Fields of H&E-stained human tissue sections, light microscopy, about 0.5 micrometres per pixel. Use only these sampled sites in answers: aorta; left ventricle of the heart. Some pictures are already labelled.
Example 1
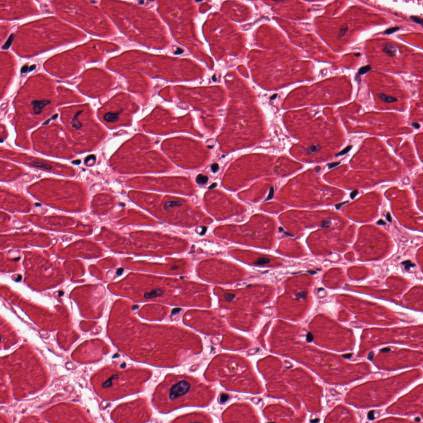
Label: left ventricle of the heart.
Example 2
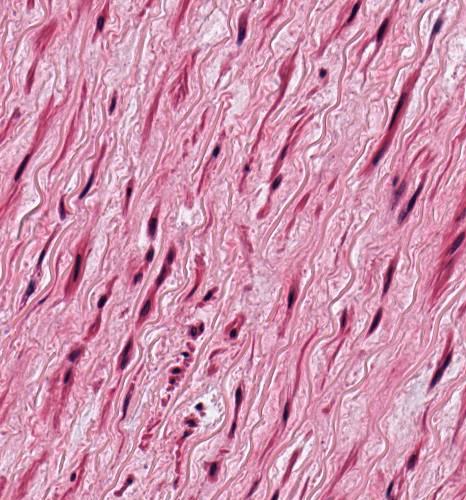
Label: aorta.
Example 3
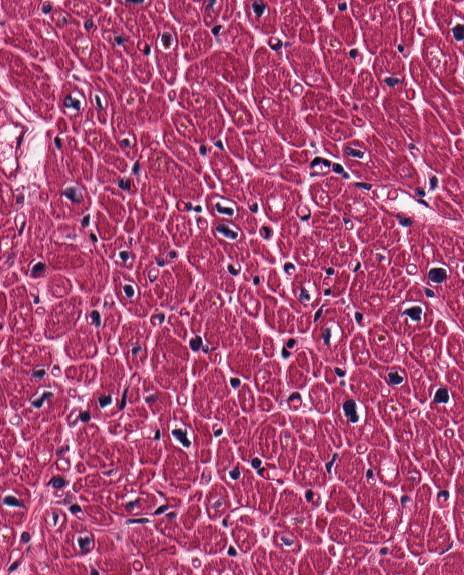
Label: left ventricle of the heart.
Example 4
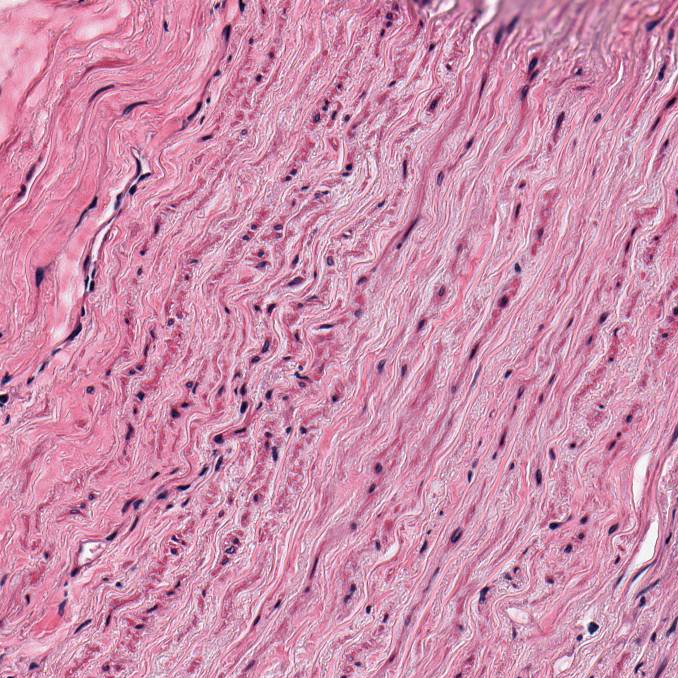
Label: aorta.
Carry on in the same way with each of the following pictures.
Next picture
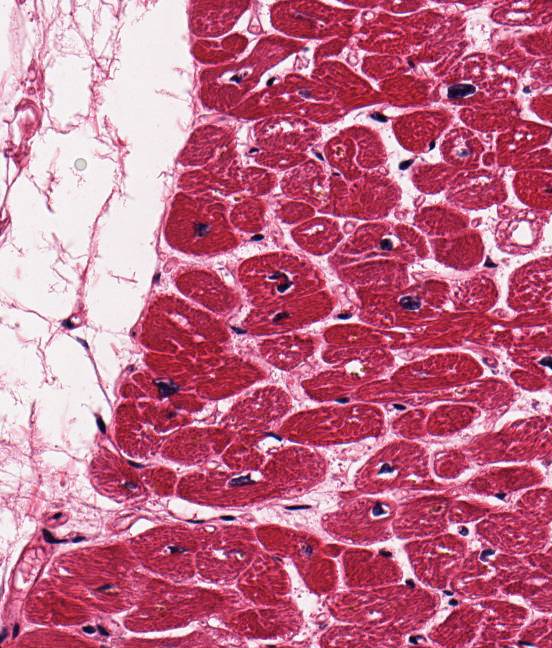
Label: left ventricle of the heart.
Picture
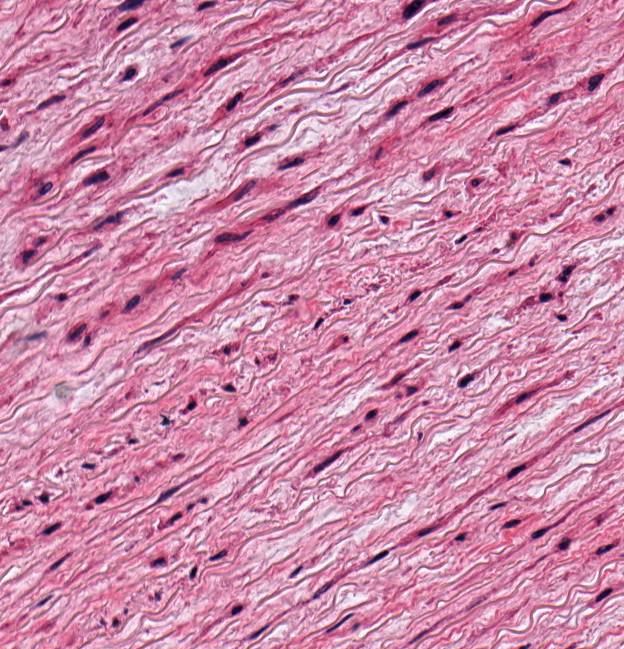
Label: aorta.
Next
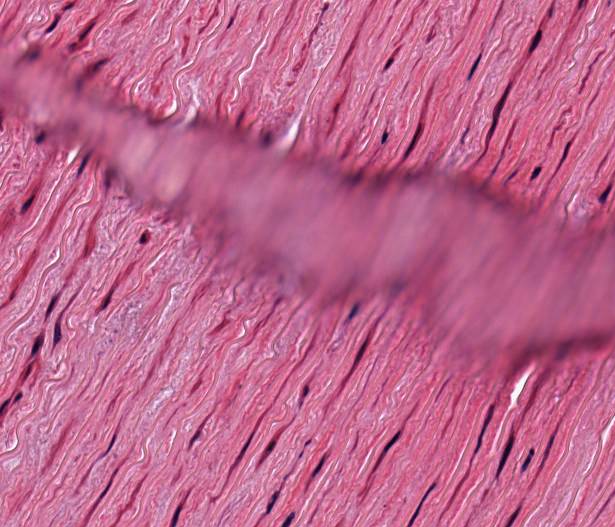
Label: aorta.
